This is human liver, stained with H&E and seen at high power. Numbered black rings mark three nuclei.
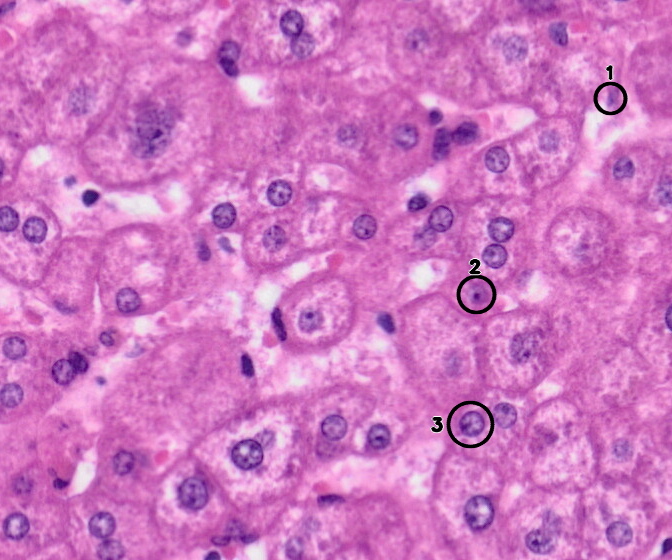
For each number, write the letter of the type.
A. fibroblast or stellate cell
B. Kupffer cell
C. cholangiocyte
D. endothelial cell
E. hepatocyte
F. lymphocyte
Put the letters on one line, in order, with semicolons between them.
B; E; E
